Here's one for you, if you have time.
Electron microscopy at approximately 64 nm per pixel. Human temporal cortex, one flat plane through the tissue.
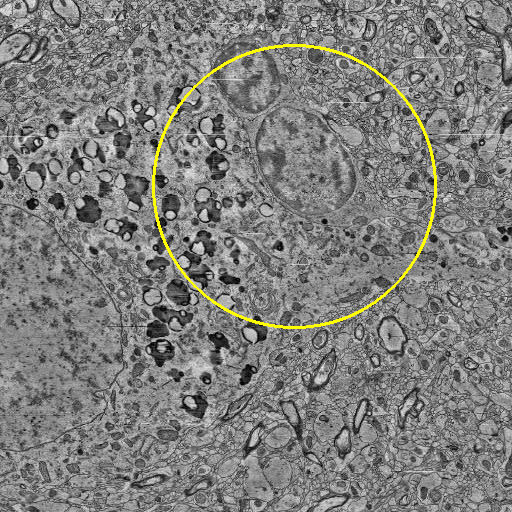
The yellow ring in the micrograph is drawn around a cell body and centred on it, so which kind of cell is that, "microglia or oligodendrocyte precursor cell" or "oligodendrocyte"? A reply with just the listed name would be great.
oligodendrocyte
